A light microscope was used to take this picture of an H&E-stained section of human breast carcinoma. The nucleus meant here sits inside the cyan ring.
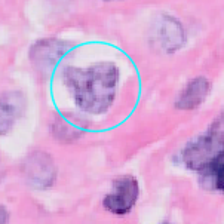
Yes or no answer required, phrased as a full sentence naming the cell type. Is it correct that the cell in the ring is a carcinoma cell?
Yes, the cell in the ring is a carcinoma cell in this section.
